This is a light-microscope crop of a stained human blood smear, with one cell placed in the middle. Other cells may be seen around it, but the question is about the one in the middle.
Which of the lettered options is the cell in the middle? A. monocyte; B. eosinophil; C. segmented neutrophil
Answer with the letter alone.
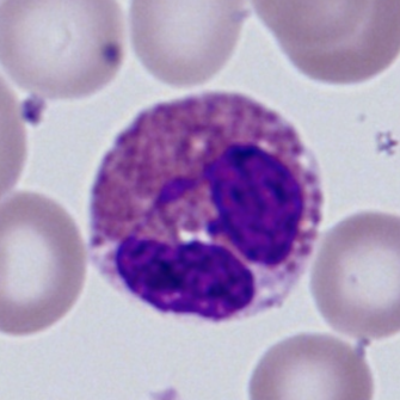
B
